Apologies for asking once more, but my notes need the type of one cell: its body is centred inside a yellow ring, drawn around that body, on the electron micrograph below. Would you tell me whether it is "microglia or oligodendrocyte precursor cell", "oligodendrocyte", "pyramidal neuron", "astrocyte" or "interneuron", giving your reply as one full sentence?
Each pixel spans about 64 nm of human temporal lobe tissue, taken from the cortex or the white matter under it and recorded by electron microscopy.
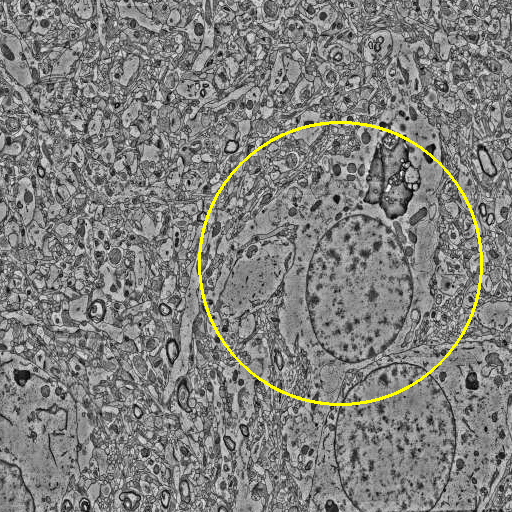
The cell that the yellow ring is centred on is an astrocyte in this micrograph.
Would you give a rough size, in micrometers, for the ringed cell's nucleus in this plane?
In this plane the nucleus spans approximately 9 by 7 micrometers.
